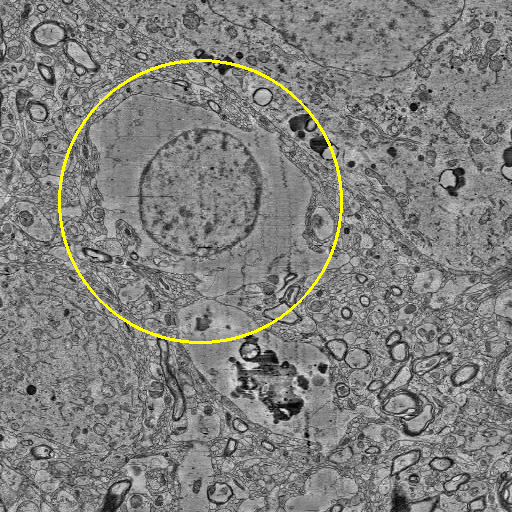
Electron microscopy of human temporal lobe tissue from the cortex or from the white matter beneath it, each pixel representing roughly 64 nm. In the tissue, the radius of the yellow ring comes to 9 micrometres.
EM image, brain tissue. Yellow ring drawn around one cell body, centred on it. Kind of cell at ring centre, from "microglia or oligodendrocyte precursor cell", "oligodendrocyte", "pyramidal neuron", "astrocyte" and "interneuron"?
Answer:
astrocyte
